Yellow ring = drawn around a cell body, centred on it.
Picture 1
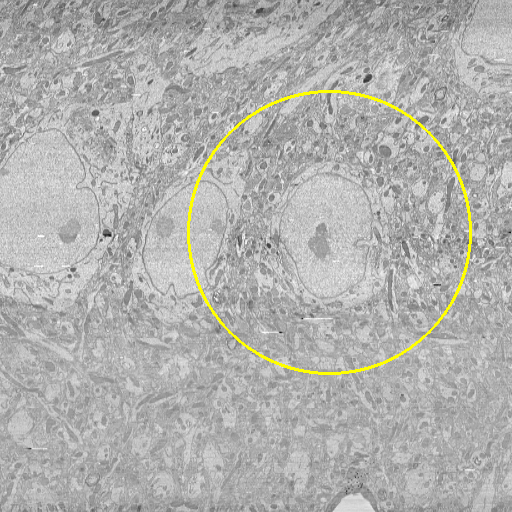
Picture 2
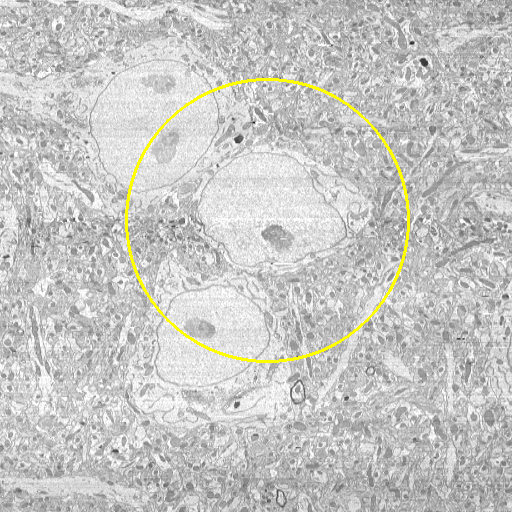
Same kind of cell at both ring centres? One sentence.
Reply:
Yes, they are the same kind of cell.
